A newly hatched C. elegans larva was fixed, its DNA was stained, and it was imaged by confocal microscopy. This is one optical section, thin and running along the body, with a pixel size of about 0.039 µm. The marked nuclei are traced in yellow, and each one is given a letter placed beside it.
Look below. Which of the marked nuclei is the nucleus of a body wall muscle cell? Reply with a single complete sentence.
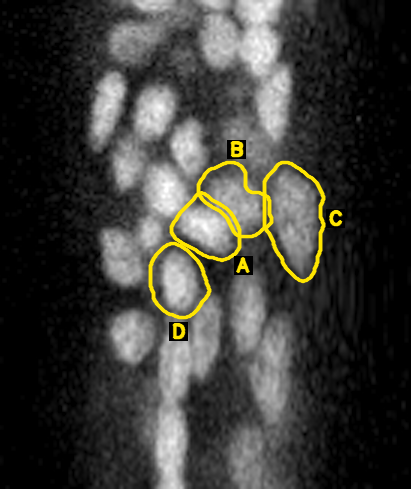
The one from a body wall muscle cell is C.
